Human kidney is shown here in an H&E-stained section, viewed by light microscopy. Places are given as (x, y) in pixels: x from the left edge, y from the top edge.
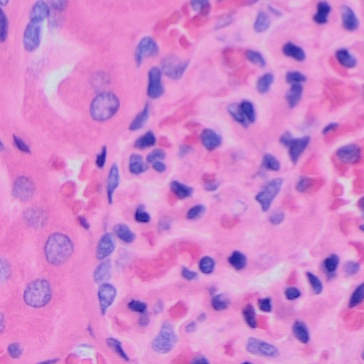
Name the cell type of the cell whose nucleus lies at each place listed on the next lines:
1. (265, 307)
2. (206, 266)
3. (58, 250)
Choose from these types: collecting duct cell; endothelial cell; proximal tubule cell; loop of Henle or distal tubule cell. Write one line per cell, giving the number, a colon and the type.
1: endothelial cell
2: endothelial cell
3: proximal tubule cell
